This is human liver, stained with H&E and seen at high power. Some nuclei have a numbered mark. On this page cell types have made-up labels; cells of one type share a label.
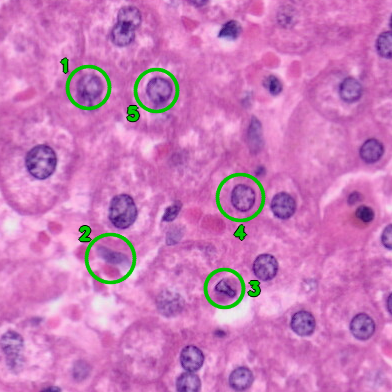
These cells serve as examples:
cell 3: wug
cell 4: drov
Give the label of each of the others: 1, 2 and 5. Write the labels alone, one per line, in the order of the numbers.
drov
wug
drov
